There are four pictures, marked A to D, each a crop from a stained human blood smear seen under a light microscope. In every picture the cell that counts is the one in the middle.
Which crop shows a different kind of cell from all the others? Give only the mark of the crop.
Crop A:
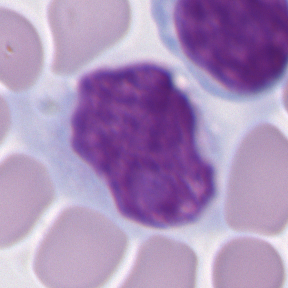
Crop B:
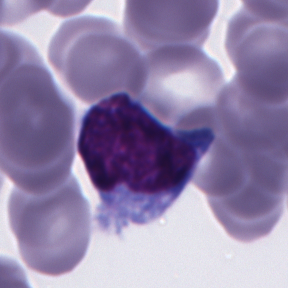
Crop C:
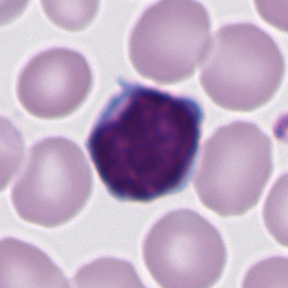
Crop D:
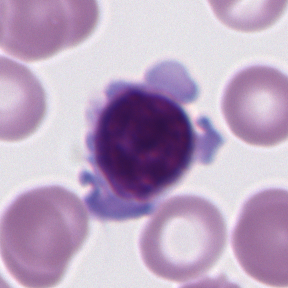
A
